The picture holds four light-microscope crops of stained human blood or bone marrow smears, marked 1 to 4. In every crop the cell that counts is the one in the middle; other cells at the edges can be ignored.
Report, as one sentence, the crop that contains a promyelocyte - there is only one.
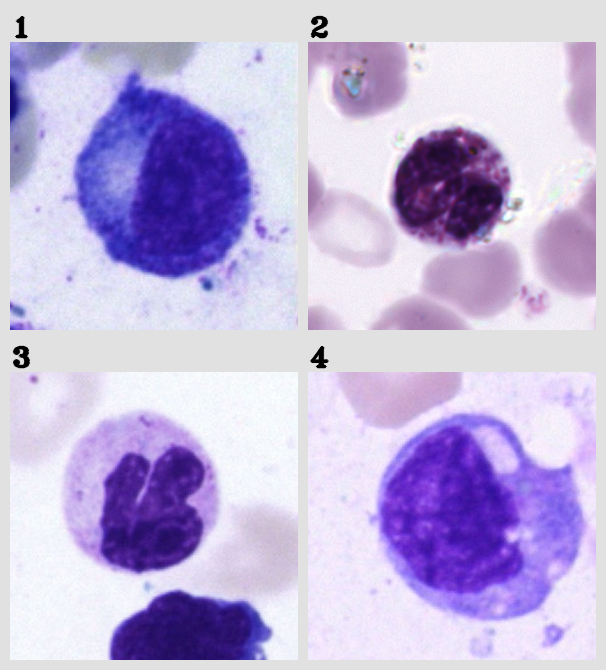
Here the crop that shows a promyelocyte is crop 1.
